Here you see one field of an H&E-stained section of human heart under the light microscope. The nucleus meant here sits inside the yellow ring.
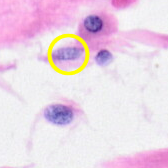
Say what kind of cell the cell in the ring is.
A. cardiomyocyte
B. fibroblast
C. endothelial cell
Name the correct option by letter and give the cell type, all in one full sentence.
That the cell in the ring is a fibroblast makes option B the correct choice.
